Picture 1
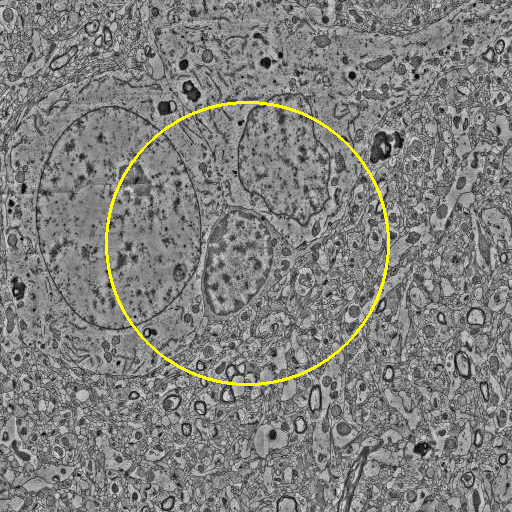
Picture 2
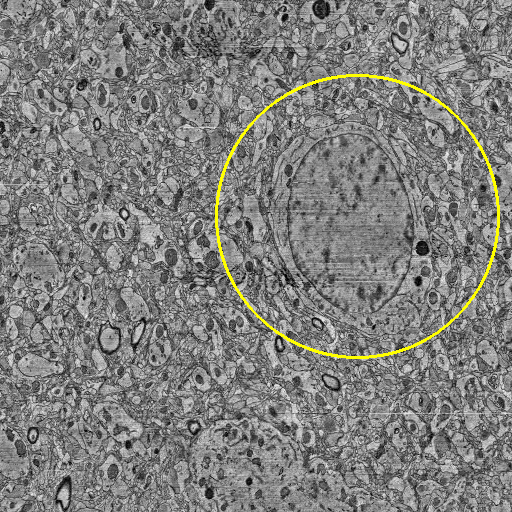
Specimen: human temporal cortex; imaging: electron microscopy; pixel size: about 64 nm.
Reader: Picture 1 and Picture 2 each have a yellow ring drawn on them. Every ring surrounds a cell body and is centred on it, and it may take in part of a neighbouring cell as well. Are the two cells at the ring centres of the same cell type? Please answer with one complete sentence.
No, the cells are of two cell types.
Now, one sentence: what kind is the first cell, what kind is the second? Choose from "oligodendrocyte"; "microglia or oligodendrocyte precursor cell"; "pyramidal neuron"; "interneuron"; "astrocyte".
The first picture has an oligodendrocyte at its ring centre, and the second has a pyramidal neuron.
